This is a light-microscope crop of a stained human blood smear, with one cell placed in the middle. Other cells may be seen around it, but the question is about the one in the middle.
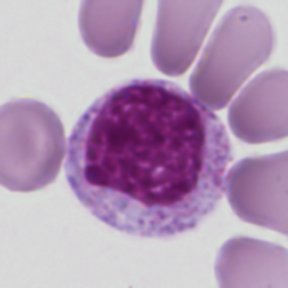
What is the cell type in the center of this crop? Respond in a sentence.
The single cell at the center of the crop is a metamyelocyte.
